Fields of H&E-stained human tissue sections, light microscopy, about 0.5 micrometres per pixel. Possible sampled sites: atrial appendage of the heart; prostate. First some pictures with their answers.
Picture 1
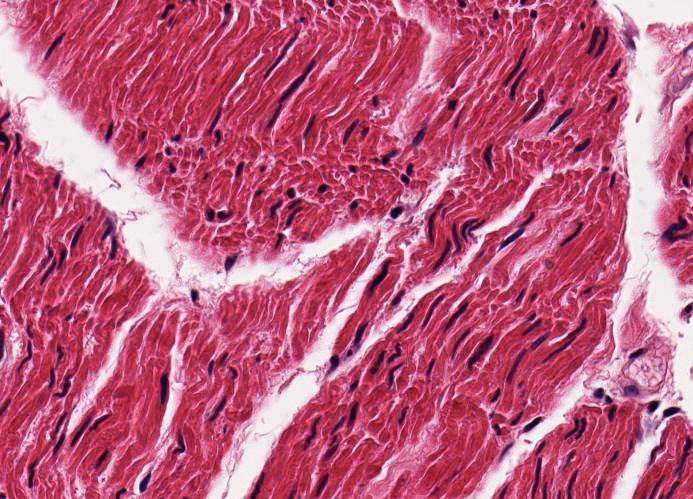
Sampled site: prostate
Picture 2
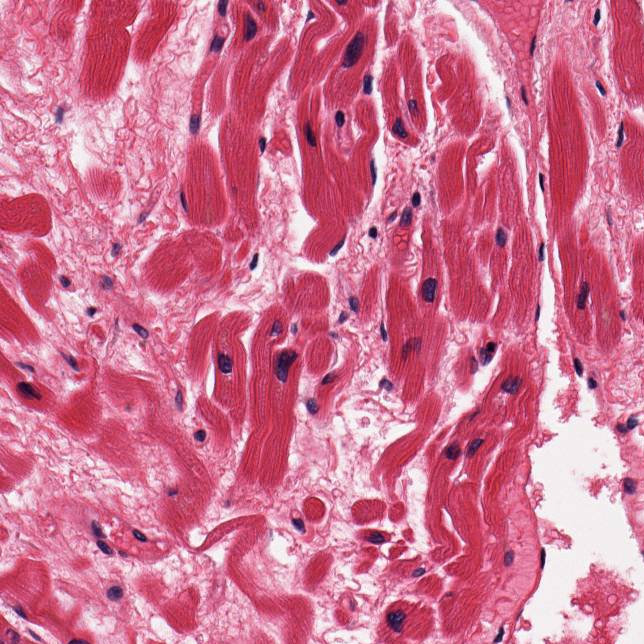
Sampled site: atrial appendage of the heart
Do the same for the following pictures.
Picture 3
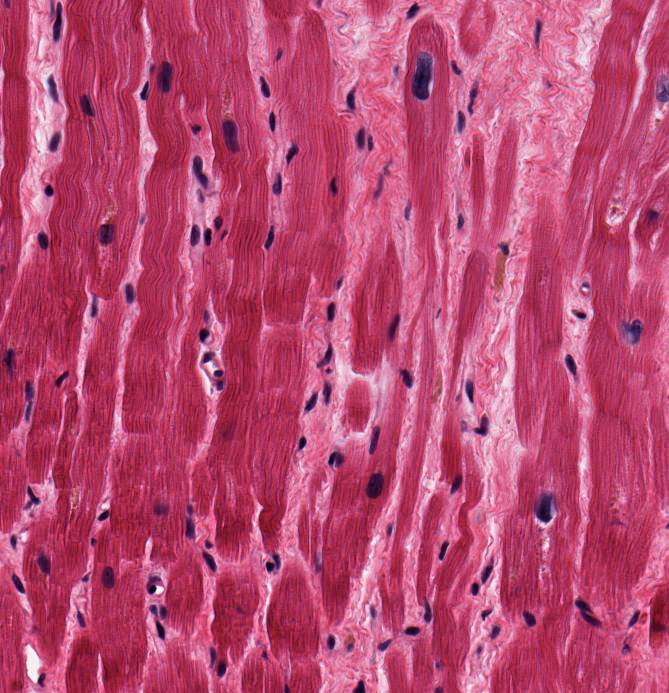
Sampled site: atrial appendage of the heart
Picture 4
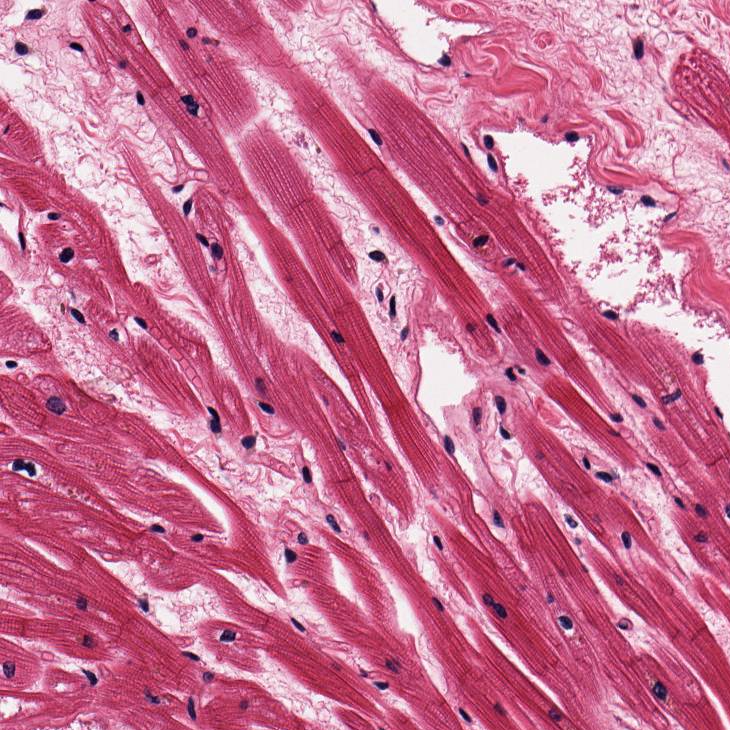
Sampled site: atrial appendage of the heart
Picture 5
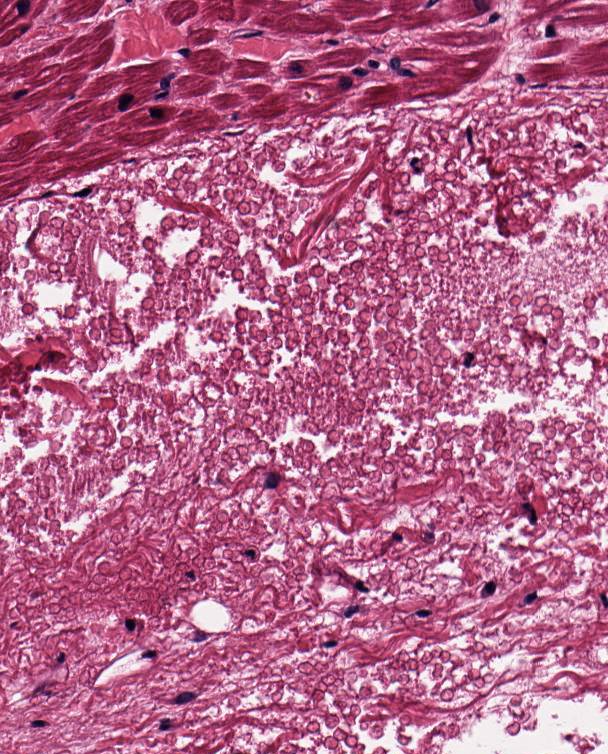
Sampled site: atrial appendage of the heart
